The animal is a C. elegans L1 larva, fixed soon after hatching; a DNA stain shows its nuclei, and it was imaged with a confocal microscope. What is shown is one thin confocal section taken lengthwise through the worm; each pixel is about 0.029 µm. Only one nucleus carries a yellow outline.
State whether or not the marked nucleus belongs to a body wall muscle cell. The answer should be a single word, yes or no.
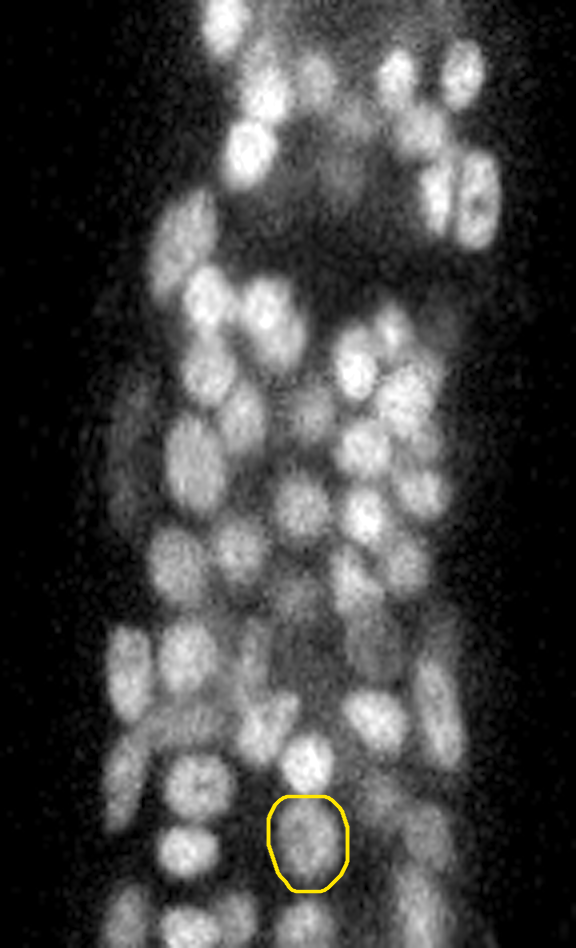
no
